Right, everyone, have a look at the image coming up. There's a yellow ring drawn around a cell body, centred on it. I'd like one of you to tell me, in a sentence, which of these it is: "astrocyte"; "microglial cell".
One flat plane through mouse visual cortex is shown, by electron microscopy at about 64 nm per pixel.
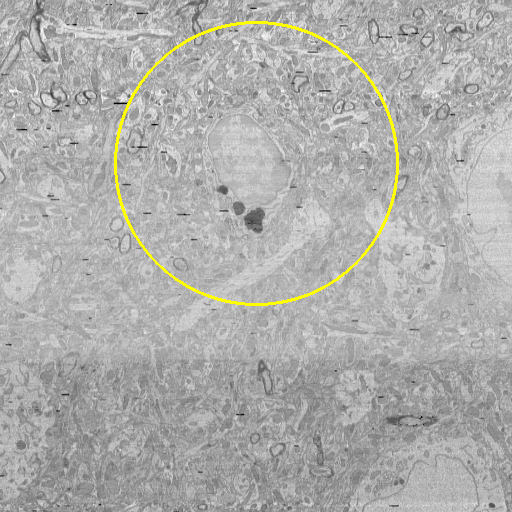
The yellow ring sits on a microglial cell.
